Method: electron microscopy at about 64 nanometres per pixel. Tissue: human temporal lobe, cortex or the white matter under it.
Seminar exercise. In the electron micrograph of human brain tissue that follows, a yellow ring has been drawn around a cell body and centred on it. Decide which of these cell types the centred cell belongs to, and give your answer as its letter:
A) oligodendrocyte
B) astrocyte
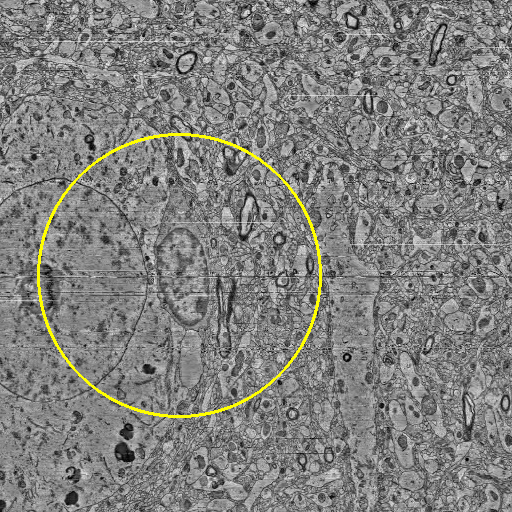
A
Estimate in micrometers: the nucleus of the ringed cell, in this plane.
About 6 by 3 micrometres, the nucleus being clearly longer than it is wide in this plane.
